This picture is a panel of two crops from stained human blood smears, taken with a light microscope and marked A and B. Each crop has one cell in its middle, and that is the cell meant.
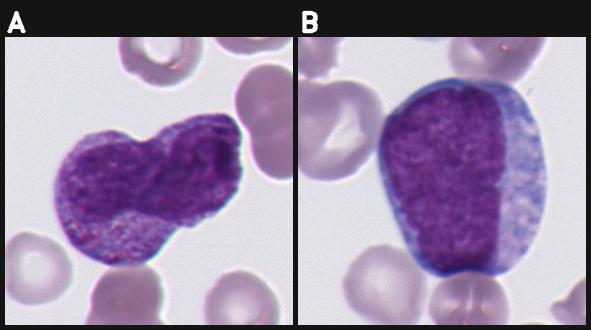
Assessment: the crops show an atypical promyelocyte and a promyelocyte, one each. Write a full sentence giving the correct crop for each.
Crop A is an atypical promyelocyte, whilst crop B is a promyelocyte.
